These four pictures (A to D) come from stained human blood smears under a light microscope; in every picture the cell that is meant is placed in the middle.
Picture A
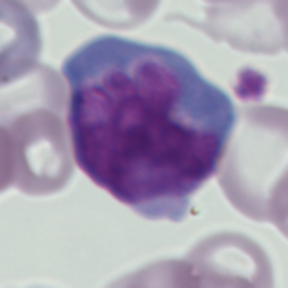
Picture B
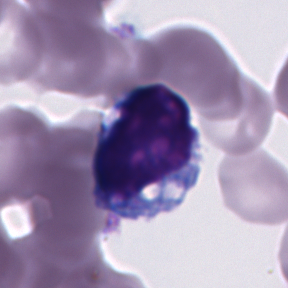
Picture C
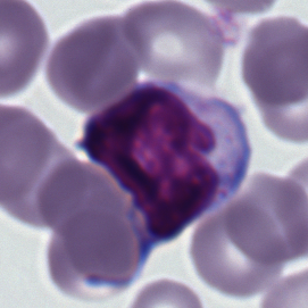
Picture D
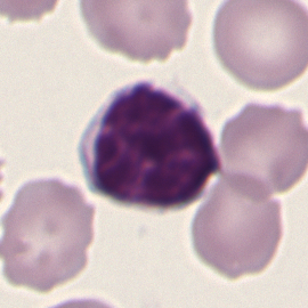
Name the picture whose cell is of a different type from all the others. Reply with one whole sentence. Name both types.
Unlike the rest, which show typical lymphocytes, picture A shows a myeloblast.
